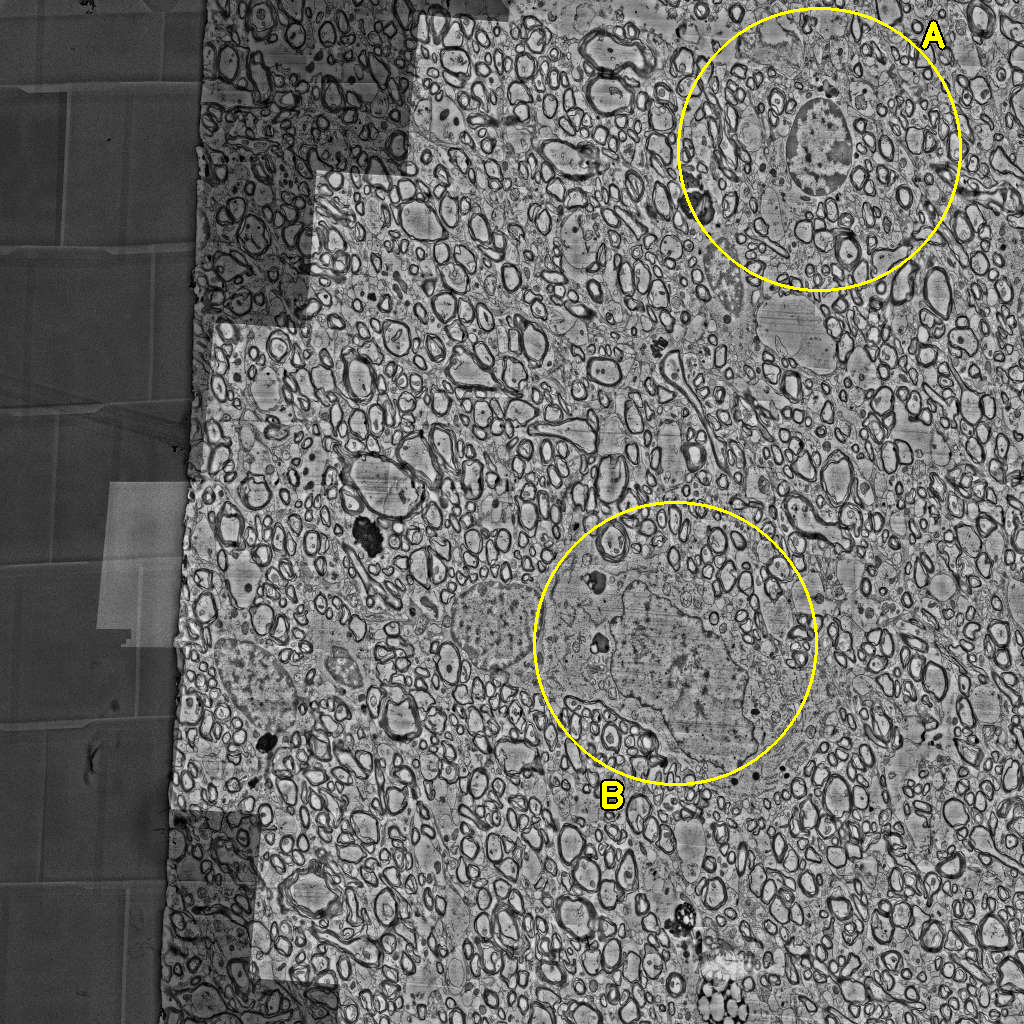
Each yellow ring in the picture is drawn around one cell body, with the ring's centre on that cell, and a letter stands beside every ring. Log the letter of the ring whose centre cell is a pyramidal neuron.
B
